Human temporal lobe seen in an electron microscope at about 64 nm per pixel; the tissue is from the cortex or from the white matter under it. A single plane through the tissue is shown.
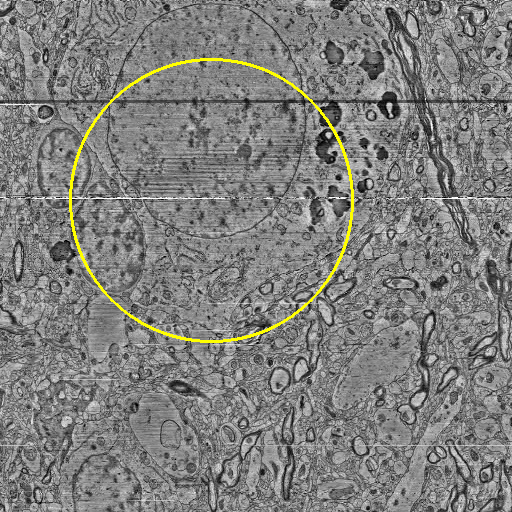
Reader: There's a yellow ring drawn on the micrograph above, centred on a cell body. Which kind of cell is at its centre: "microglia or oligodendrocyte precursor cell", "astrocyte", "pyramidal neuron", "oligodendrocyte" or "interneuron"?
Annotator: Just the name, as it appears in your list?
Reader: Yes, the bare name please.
pyramidal neuron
